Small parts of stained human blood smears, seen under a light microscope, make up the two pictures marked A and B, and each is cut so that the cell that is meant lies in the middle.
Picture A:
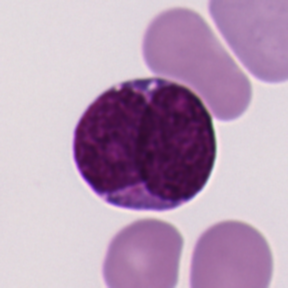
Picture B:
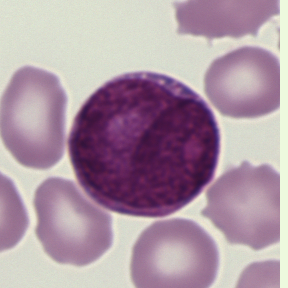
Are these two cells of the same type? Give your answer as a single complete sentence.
Yes; the cells in both pictures are myeloblasts.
